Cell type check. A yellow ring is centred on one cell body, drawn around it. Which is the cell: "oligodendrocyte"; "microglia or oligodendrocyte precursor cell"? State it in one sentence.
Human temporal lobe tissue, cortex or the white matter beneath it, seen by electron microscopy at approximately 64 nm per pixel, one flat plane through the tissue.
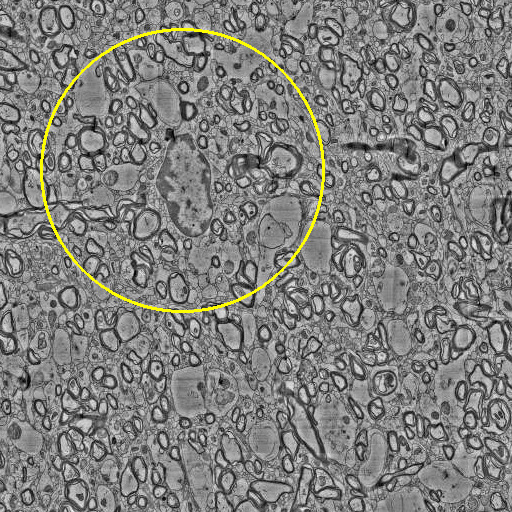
The cell body at the ring's centre belongs to a microglial cell or oligodendrocyte precursor cell.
